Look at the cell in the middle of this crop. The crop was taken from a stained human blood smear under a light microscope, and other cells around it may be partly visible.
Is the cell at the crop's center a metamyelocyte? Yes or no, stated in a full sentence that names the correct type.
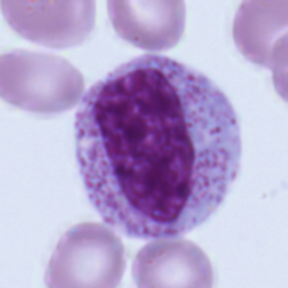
No, the cell in the middle of the field is a myelocyte, not a metamyelocyte as suggested.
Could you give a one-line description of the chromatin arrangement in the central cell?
What stands out is chromatin that is coarsely clumped.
